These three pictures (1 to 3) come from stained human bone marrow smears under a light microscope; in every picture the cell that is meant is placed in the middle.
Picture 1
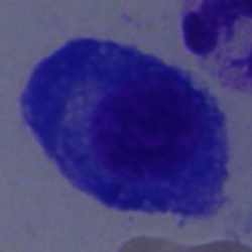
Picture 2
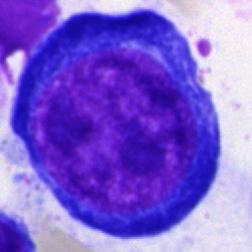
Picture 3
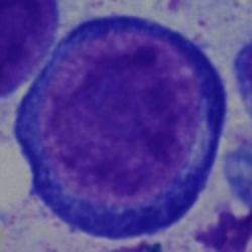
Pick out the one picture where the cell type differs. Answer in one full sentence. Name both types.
All pictures except 1 show proerythroblasts; picture 1 shows a plasma cell.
